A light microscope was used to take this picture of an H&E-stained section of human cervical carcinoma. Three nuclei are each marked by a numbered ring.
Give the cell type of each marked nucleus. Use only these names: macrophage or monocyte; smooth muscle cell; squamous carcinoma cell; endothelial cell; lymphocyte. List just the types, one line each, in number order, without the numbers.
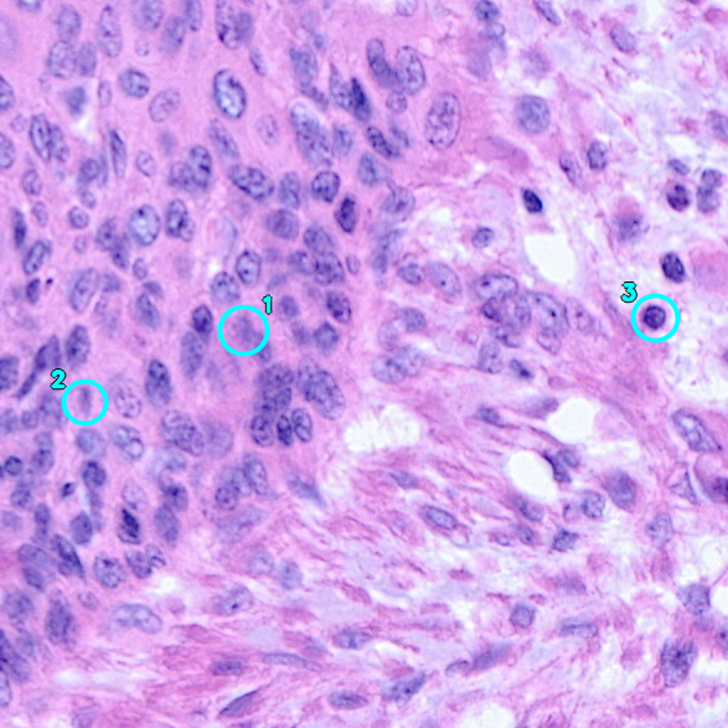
squamous carcinoma cell
squamous carcinoma cell
lymphocyte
